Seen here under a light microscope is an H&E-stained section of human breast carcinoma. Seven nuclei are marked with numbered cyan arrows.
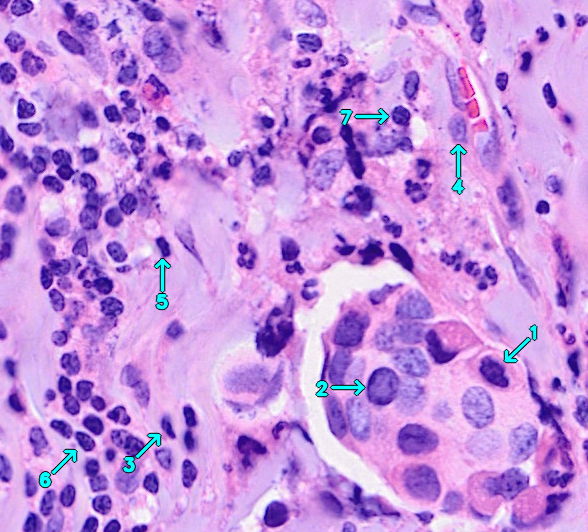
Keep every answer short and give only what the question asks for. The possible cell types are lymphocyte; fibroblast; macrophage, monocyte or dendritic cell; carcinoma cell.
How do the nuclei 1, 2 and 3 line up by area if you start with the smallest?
3, 1, 2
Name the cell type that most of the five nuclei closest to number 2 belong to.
carcinoma cell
